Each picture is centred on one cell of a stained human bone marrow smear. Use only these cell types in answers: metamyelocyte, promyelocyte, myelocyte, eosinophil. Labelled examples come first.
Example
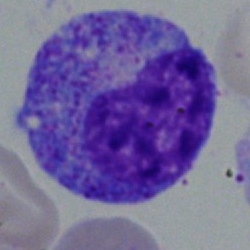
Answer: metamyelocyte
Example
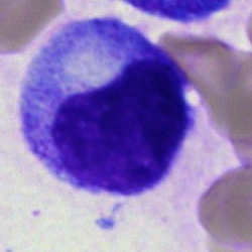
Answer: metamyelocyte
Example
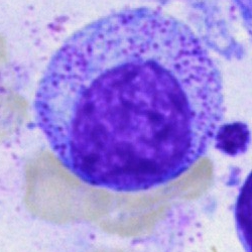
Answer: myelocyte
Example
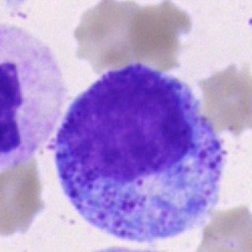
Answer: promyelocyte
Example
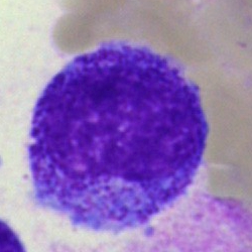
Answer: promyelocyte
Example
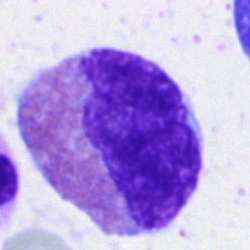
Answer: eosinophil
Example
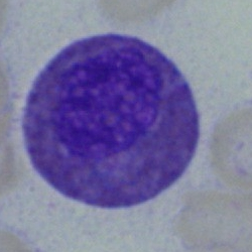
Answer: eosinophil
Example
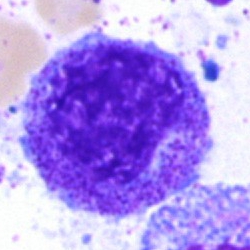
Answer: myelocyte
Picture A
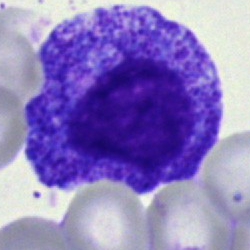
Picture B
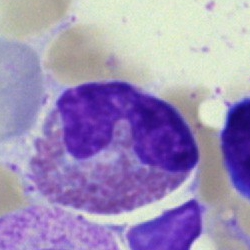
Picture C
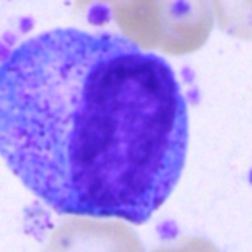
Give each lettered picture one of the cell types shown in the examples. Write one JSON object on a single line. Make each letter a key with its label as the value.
{"A": "promyelocyte", "B": "eosinophil", "C": "promyelocyte"}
